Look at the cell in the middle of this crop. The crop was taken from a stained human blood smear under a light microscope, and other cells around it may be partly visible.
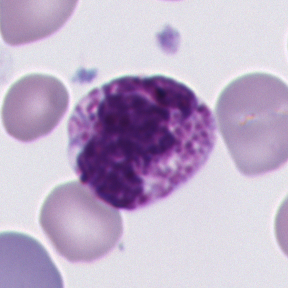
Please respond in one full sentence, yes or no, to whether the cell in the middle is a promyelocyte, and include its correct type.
No, the cell at the centre is a basophil, which rules out a promyelocyte.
